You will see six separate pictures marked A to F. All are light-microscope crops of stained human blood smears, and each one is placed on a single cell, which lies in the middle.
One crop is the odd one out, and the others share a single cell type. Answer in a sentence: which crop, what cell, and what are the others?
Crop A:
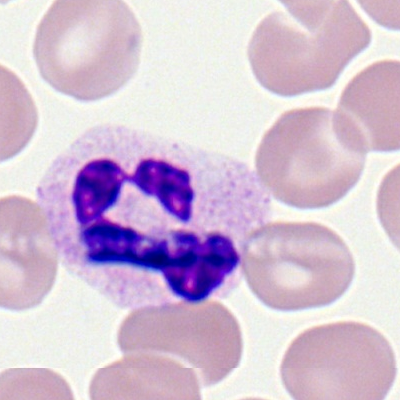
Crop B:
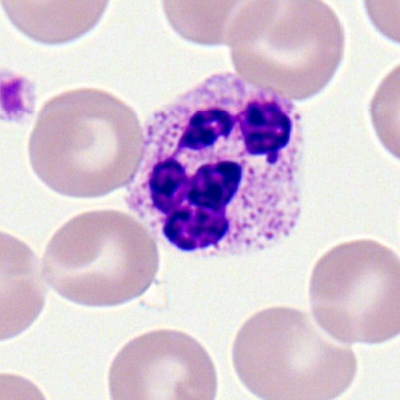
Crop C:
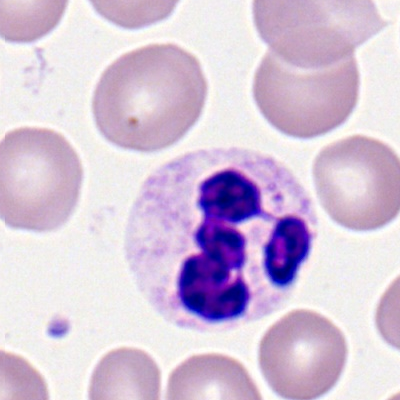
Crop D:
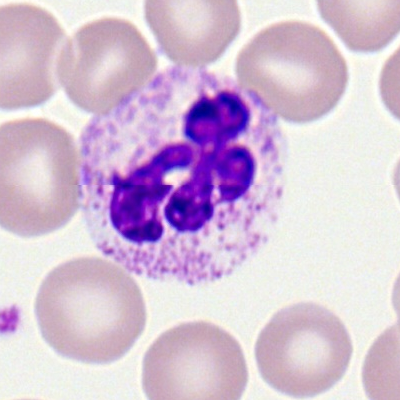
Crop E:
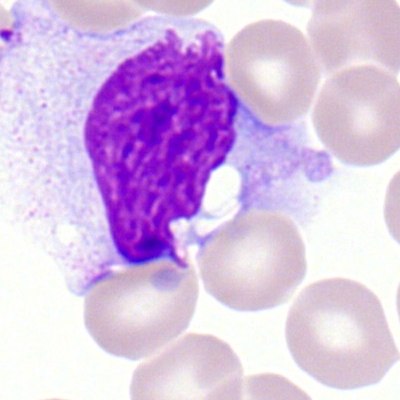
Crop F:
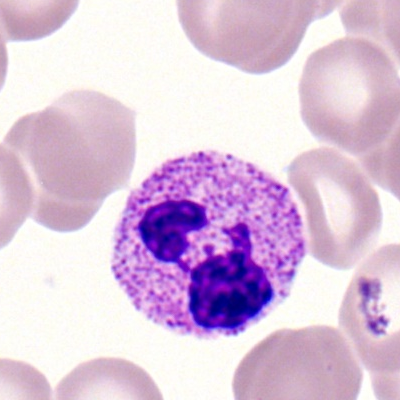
In crop E the central cell is a monocyte, whereas the other crops all contain segmented neutrophils.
